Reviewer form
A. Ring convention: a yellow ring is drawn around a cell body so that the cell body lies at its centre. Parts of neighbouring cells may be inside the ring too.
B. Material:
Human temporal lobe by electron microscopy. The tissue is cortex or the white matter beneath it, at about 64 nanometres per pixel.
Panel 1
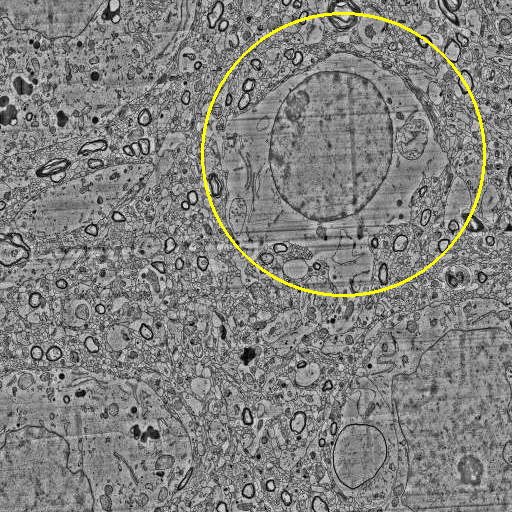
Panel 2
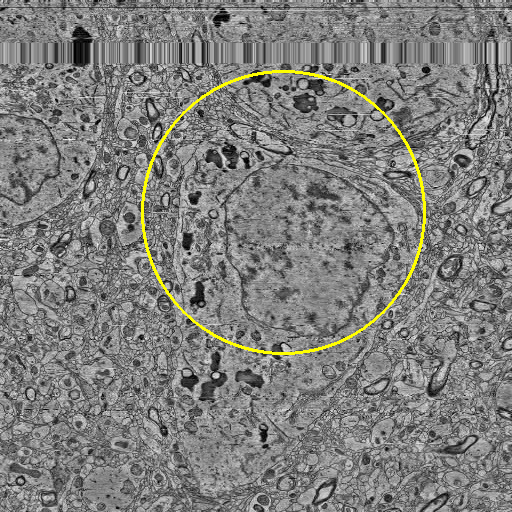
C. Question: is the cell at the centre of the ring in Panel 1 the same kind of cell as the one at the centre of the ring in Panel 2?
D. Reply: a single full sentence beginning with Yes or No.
No, the cells in Panel 1 and Panel 2 are two kinds of cell.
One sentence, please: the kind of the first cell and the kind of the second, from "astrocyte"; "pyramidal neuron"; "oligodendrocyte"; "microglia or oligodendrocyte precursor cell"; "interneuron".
The ring in the first picture surrounds an astrocyte, and the ring in the second surrounds an interneuron.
